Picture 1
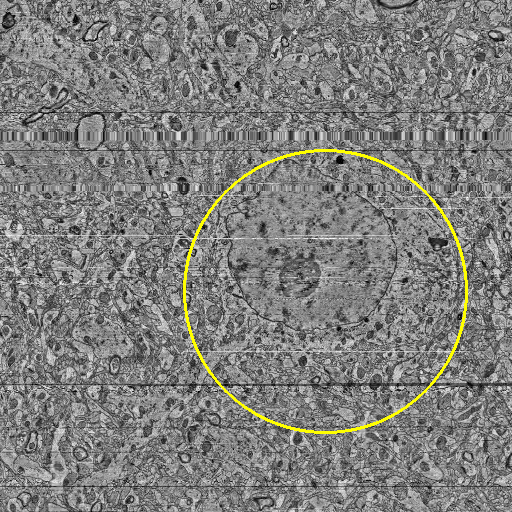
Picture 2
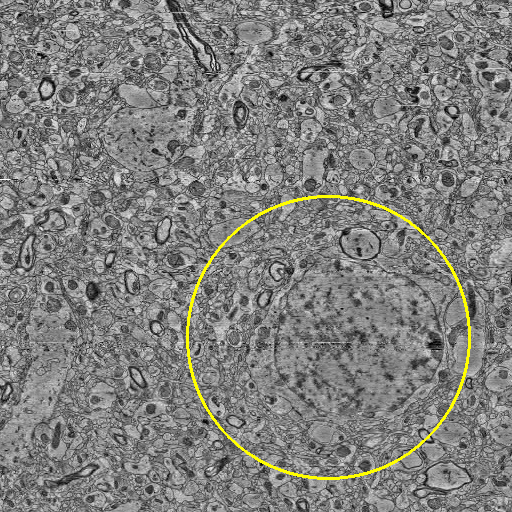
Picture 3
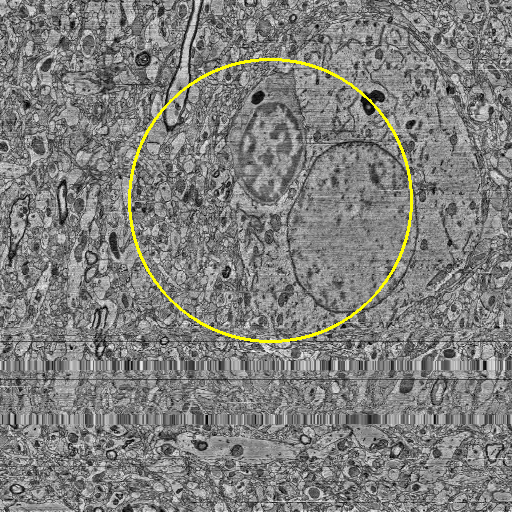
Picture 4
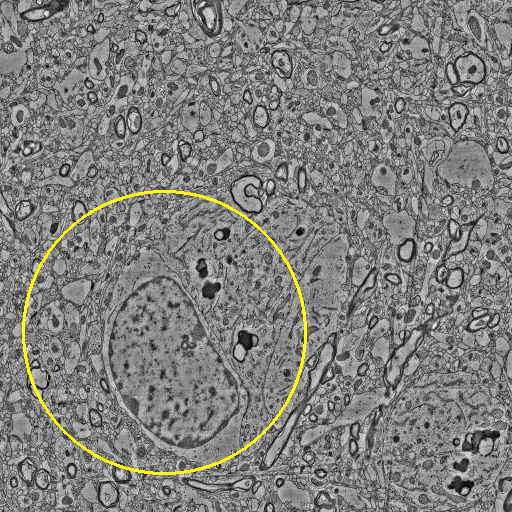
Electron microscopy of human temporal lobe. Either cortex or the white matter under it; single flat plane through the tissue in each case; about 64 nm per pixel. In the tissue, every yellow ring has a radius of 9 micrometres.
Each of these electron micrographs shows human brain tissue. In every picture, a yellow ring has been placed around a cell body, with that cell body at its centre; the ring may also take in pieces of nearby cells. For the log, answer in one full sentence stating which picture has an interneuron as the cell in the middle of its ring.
In picture 2, the cell at the centre of the yellow ring is the requested one.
